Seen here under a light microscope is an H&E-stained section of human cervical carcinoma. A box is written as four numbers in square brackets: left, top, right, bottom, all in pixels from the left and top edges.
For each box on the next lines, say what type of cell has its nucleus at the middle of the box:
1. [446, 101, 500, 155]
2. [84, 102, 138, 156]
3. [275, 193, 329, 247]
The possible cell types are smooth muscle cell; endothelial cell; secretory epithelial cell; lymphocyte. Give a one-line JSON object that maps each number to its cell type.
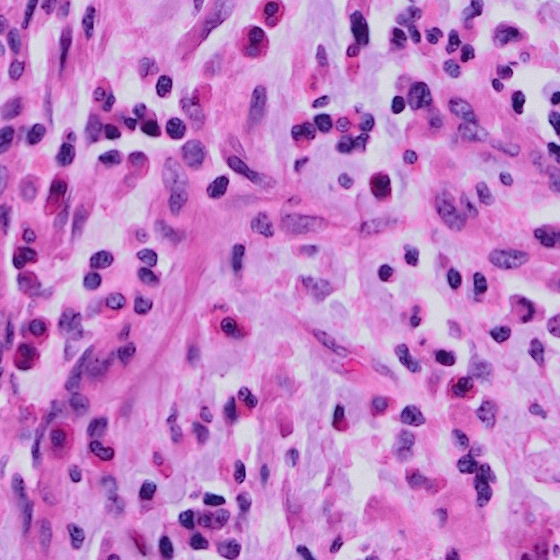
{"1": "endothelial cell", "2": "lymphocyte", "3": "endothelial cell"}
